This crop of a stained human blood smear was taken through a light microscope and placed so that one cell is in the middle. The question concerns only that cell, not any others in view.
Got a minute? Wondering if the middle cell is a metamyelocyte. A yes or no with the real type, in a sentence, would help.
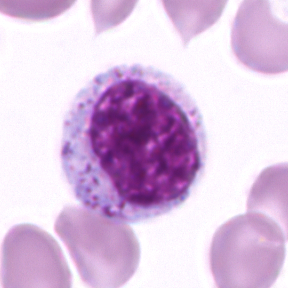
Yes, the central cell here is a metamyelocyte.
